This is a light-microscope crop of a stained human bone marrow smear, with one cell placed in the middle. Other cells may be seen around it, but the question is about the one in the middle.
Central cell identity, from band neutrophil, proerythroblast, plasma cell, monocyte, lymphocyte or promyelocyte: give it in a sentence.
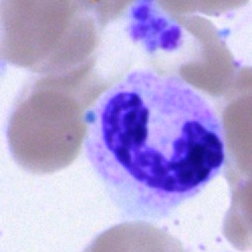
The crop's centre is taken up by a band neutrophil.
